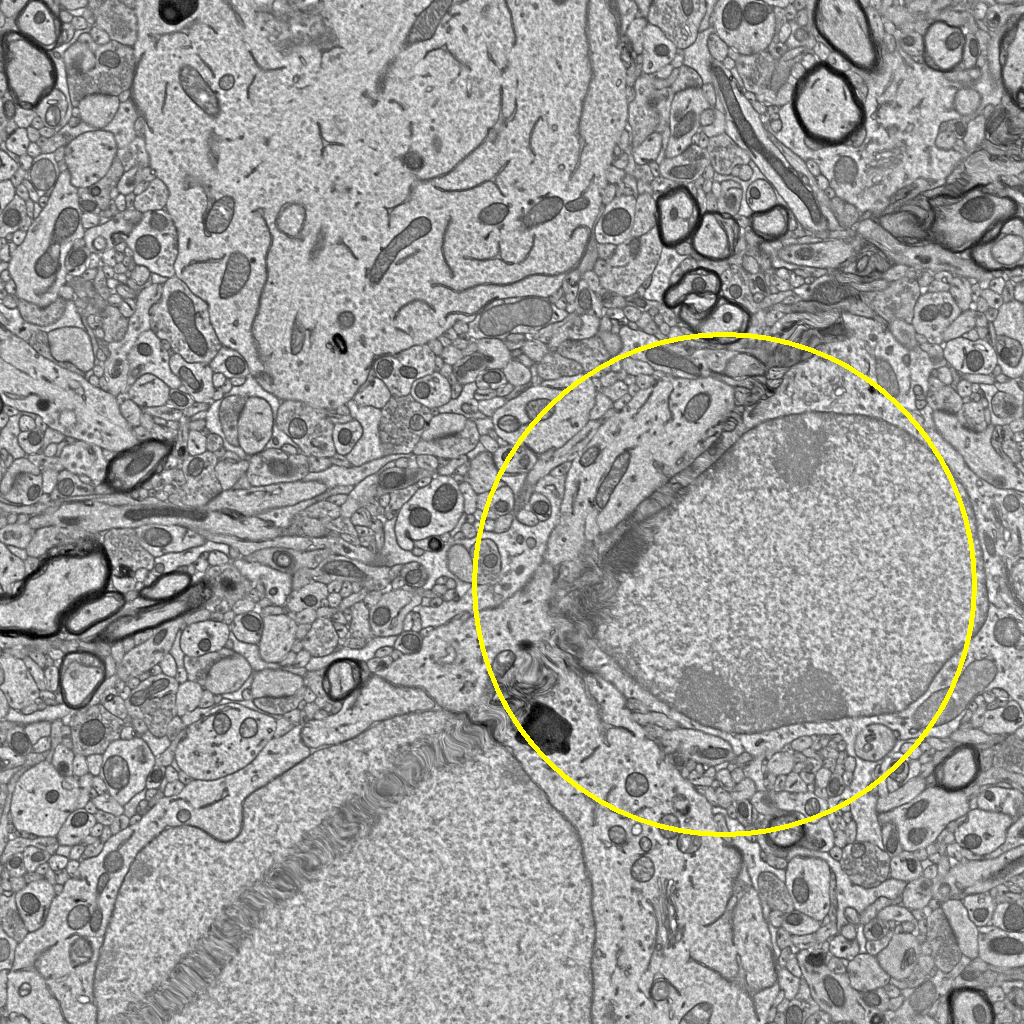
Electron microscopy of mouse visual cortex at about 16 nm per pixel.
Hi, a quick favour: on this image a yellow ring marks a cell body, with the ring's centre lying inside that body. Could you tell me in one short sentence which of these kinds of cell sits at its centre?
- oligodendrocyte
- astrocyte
The ring's centre lies in an astrocyte.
